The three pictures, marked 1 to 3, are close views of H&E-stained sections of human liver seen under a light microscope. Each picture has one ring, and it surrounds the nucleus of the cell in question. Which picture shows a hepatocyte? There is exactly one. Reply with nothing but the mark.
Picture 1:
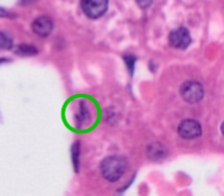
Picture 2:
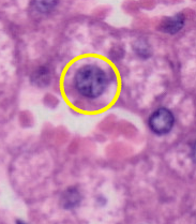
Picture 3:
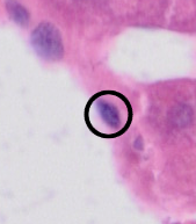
2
